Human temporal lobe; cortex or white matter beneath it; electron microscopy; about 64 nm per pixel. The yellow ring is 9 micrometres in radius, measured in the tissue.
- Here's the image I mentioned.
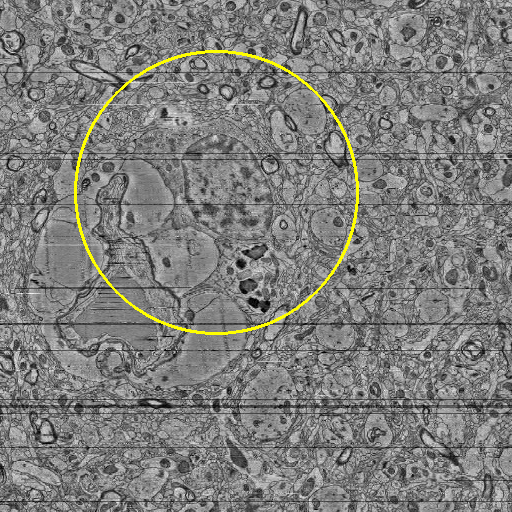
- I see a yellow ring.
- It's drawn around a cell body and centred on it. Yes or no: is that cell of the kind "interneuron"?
no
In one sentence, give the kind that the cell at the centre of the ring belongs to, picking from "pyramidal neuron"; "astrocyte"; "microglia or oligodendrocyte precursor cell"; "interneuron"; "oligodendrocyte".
In this picture, the ring is centred on an oligodendrocyte.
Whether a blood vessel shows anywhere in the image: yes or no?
Yes, there is a blood vessel.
